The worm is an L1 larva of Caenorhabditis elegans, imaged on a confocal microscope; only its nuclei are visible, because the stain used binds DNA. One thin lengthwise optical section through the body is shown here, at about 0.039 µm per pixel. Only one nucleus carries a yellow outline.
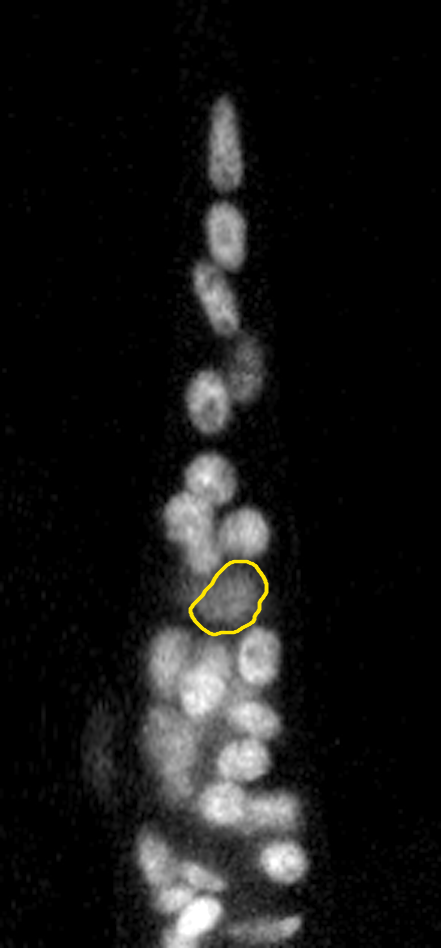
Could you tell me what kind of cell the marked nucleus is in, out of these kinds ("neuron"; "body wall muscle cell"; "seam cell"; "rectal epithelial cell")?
seam cell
